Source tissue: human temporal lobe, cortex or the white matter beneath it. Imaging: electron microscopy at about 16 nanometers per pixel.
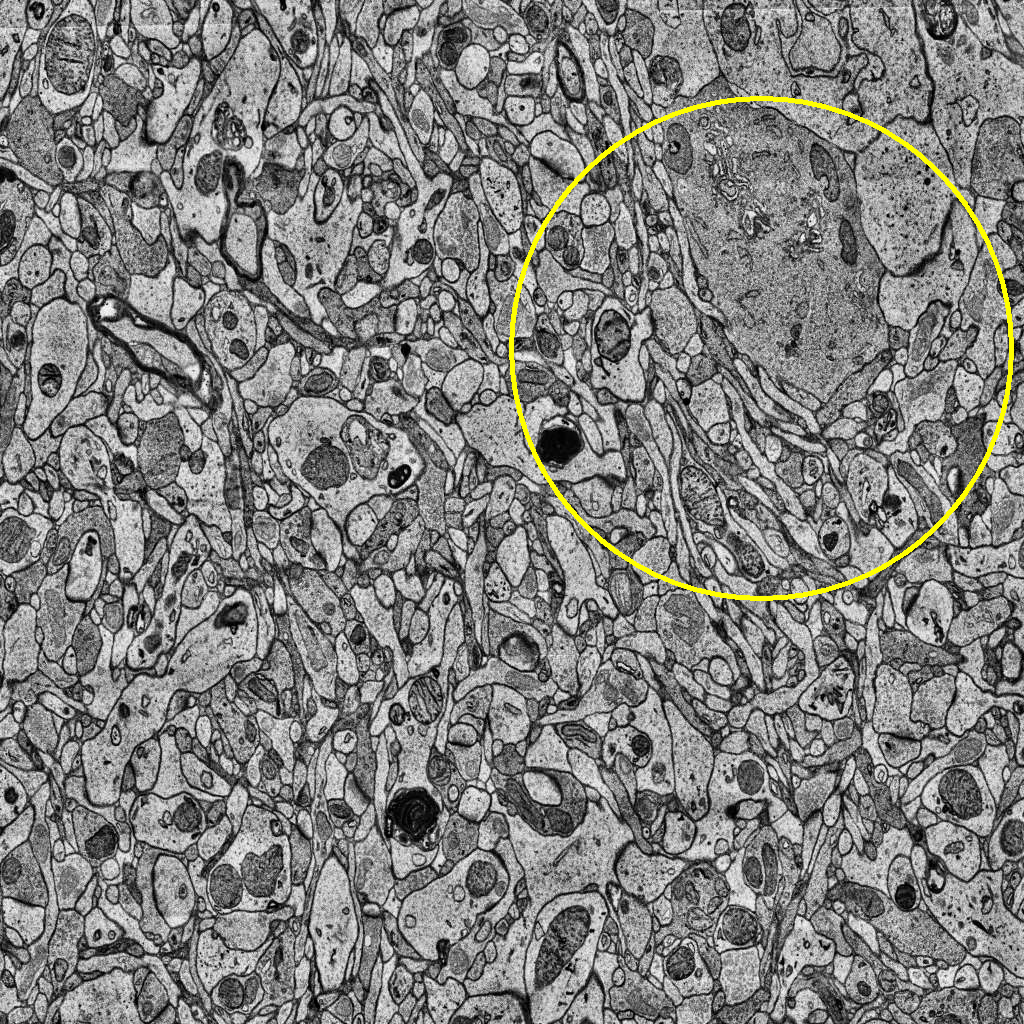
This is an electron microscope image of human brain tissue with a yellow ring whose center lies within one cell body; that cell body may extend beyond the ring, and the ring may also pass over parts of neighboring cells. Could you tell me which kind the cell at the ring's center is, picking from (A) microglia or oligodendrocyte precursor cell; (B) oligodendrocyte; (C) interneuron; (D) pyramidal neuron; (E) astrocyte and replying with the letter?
B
